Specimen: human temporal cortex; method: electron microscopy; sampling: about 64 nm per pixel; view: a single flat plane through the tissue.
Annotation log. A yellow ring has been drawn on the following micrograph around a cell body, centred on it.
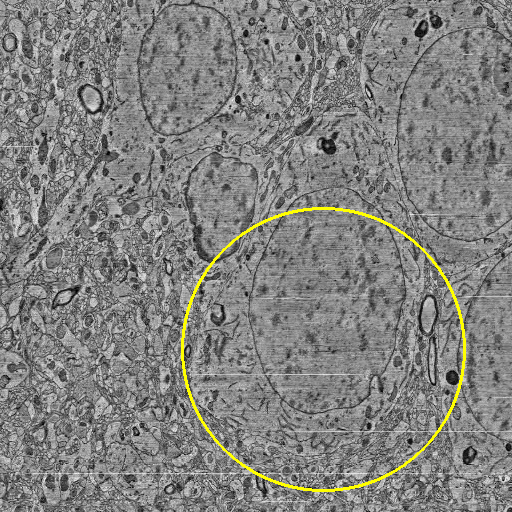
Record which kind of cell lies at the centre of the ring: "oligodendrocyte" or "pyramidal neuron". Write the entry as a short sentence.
The cell the ring is centred on is a pyramidal neuron.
